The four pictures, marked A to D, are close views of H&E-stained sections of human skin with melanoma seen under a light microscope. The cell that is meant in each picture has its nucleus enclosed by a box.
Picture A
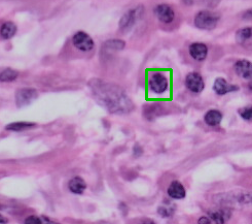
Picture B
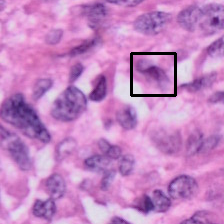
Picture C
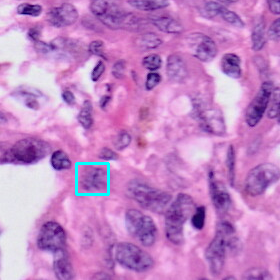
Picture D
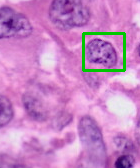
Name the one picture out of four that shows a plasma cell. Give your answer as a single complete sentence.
The cell in picture A is the plasma cell.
